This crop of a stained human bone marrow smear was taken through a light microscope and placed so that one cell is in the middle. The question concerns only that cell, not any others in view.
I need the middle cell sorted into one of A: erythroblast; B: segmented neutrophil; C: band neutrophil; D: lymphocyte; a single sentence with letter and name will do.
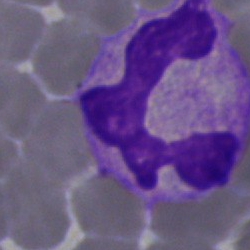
That cell in the center is a segmented neutrophil, hence option B.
